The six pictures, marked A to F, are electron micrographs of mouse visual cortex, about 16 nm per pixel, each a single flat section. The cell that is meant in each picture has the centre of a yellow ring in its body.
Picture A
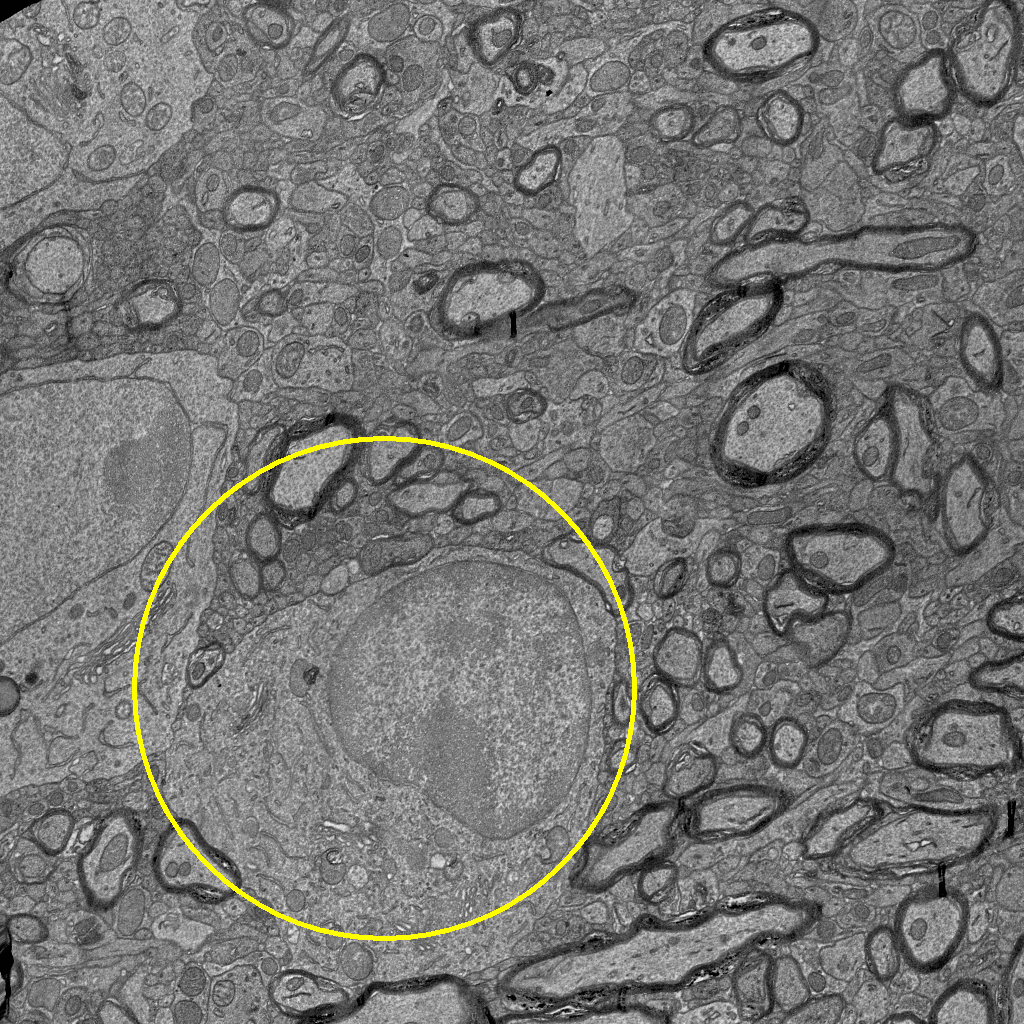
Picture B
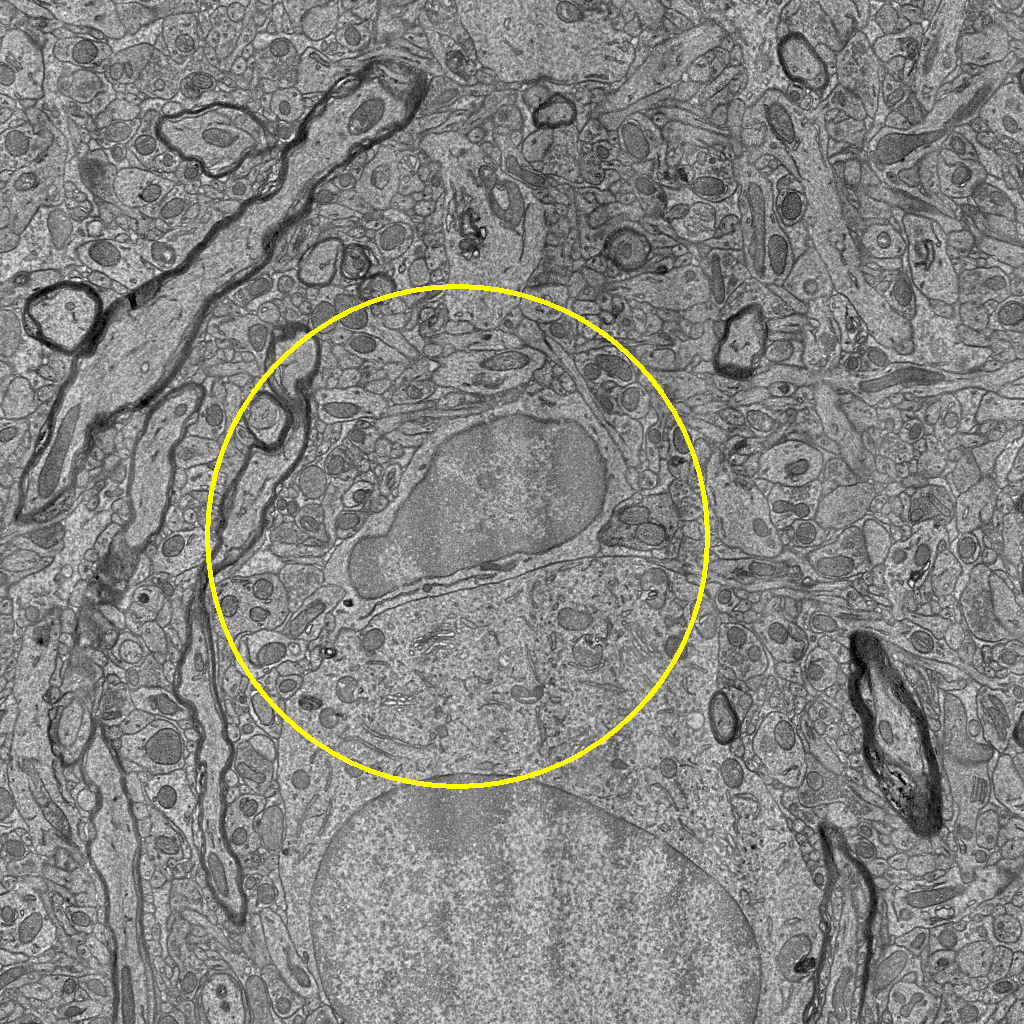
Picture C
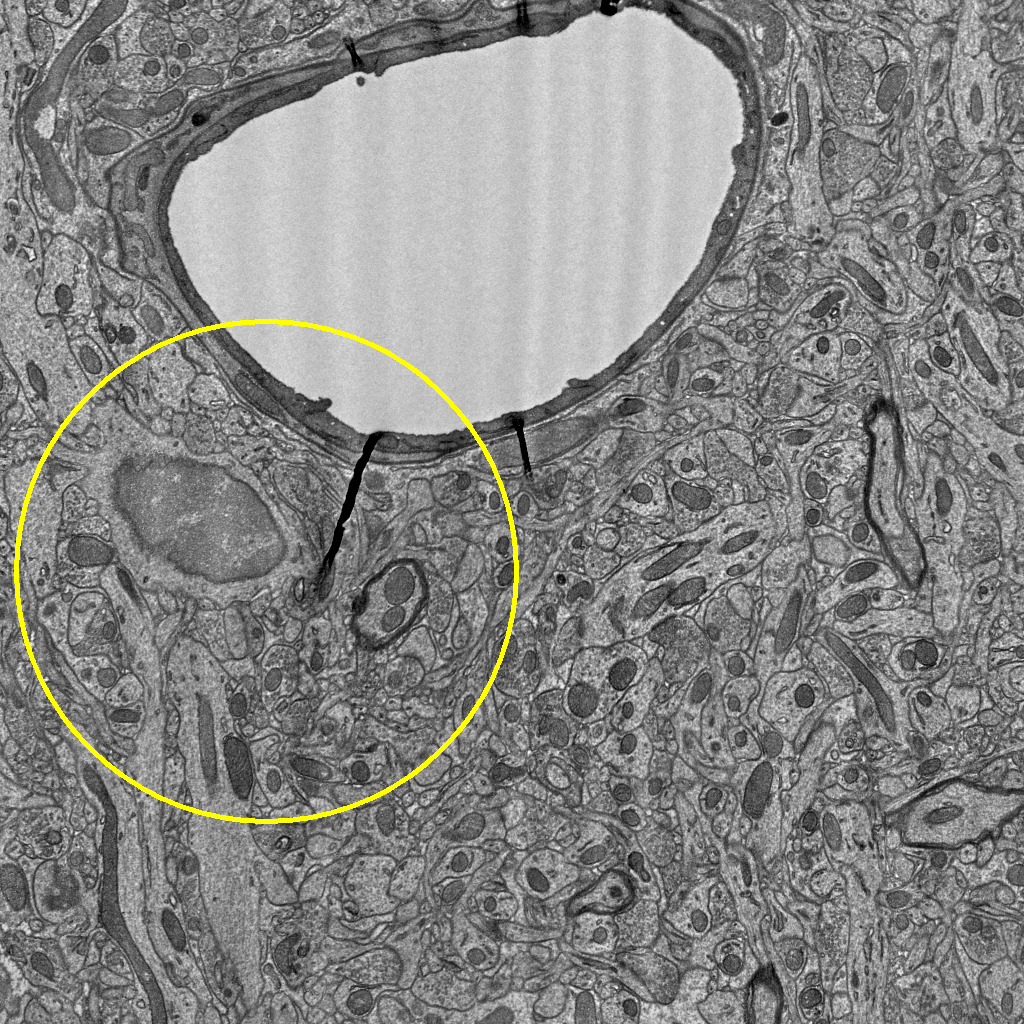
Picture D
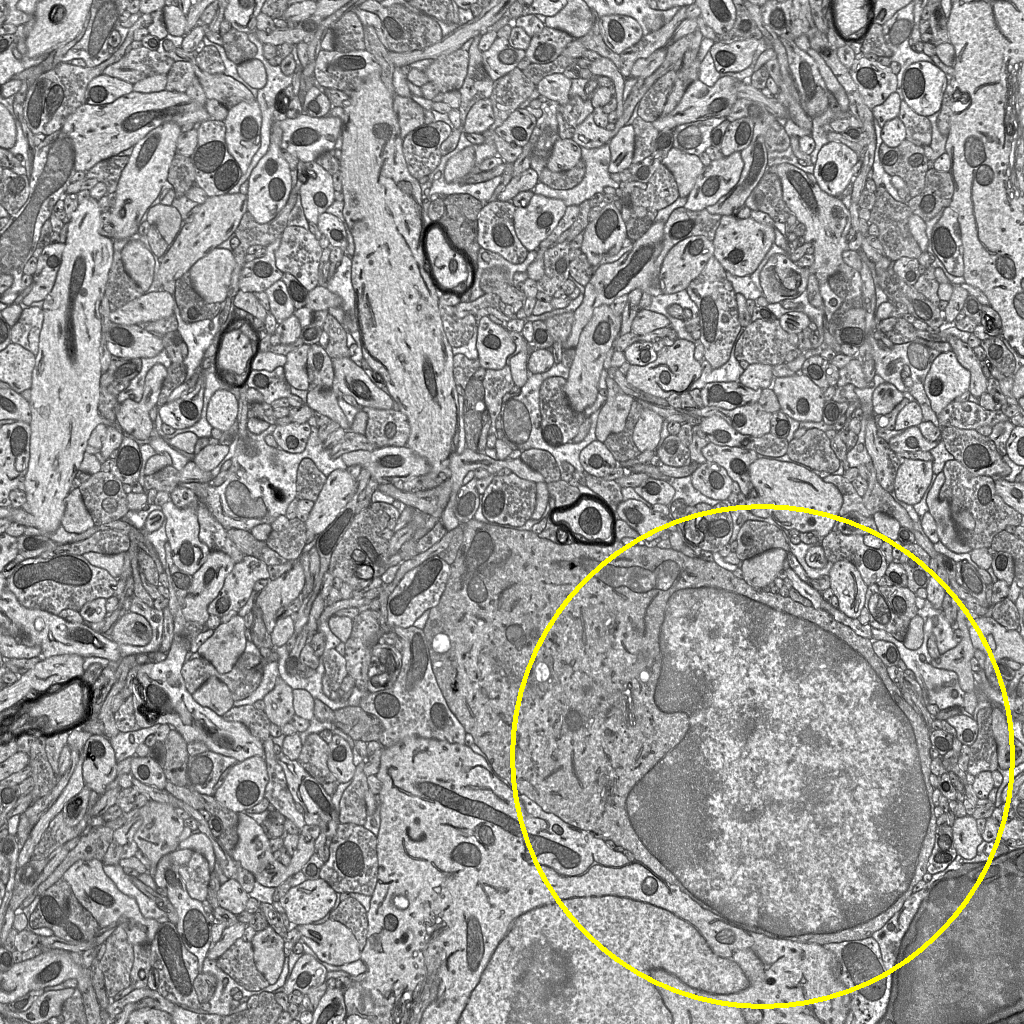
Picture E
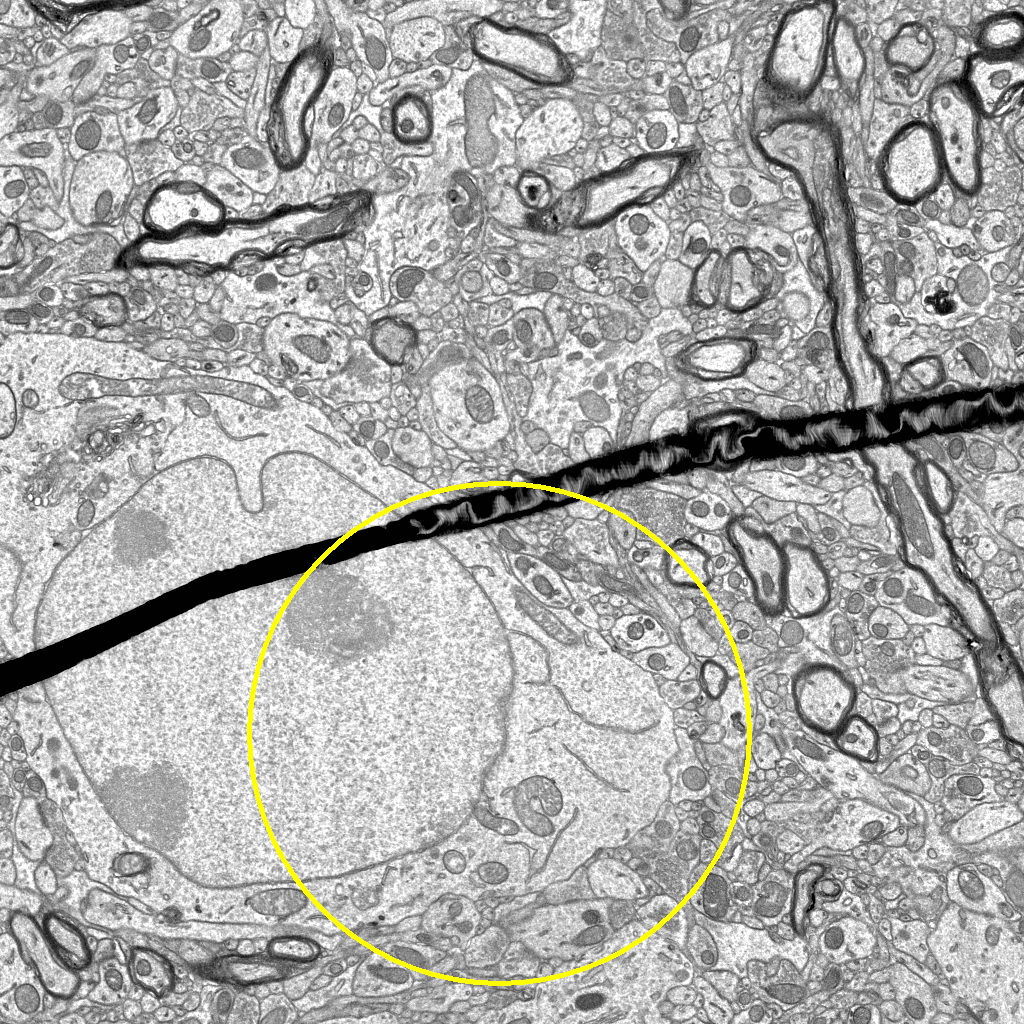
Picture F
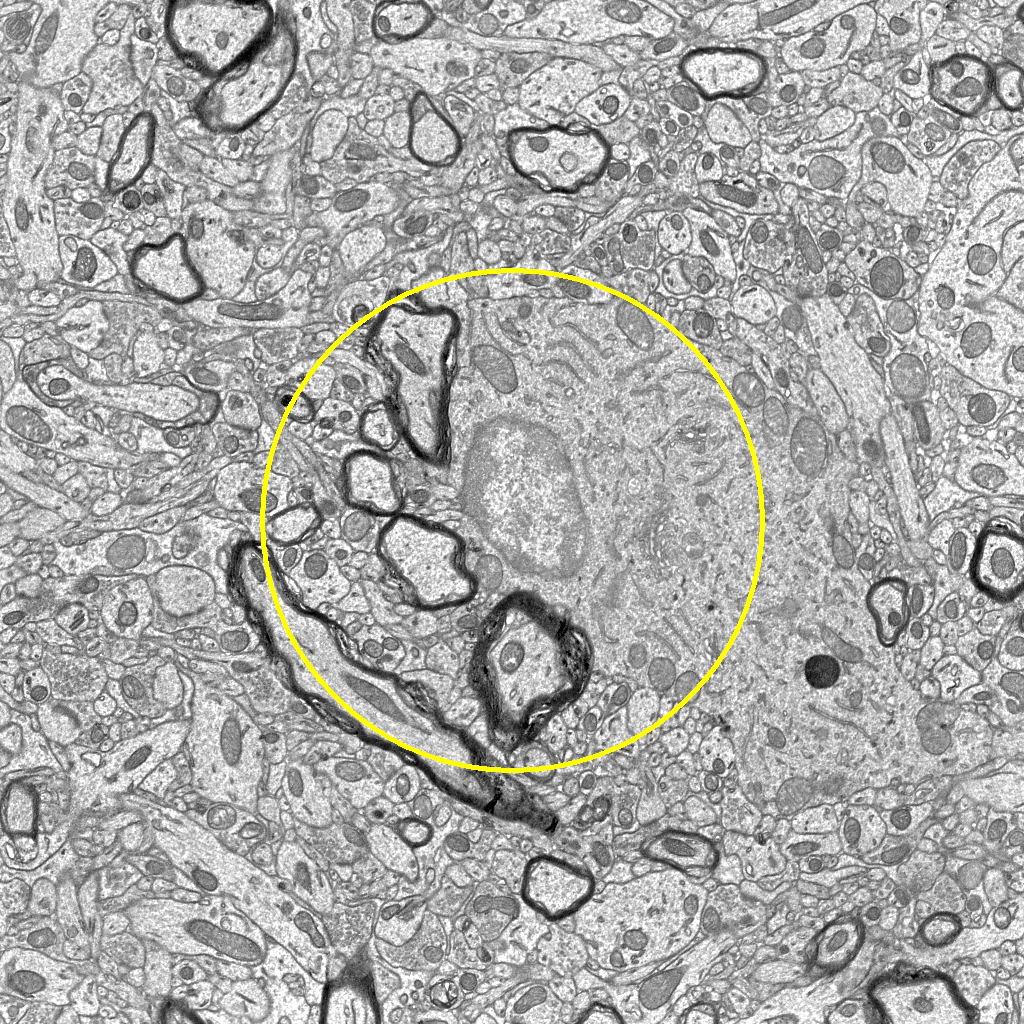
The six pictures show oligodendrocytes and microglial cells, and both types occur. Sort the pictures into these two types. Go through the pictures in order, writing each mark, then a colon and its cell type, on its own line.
A: oligodendrocyte
B: microglial cell
C: microglial cell
D: oligodendrocyte
E: oligodendrocyte
F: oligodendrocyte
